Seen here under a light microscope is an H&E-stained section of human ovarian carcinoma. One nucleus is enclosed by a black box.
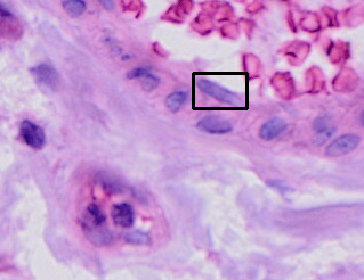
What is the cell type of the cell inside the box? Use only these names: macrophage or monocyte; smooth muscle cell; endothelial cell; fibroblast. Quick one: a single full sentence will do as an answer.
In short, the cell inside the box on this section is an endothelial cell.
